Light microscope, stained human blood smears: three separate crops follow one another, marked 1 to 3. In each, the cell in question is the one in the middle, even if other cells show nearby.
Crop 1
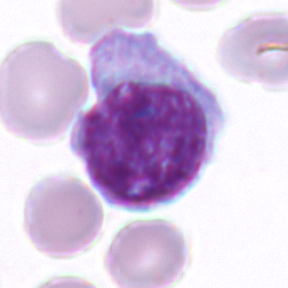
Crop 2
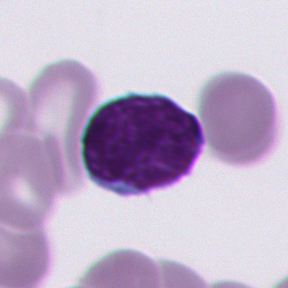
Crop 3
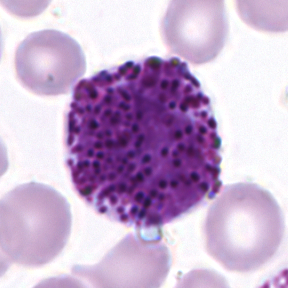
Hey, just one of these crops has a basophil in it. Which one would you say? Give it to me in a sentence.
The cell identified as a basophil is the one in crop 3.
